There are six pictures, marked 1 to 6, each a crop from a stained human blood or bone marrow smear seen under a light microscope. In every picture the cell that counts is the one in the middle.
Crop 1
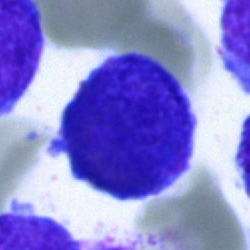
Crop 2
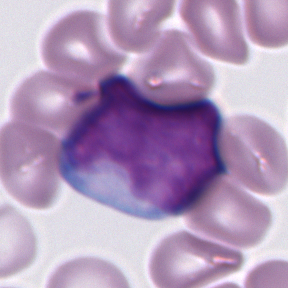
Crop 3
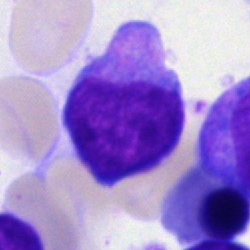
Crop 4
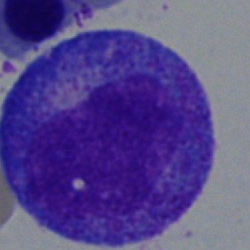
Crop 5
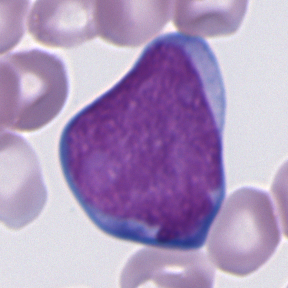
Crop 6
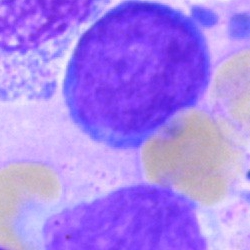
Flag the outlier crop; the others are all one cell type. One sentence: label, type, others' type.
Crop 4 differs, its cell being a promyelocyte, whereas the other crops show blasts.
